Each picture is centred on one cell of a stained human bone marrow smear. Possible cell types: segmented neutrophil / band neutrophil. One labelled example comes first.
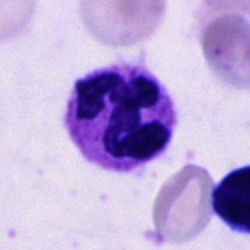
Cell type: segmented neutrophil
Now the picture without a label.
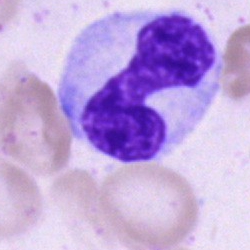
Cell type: band neutrophil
